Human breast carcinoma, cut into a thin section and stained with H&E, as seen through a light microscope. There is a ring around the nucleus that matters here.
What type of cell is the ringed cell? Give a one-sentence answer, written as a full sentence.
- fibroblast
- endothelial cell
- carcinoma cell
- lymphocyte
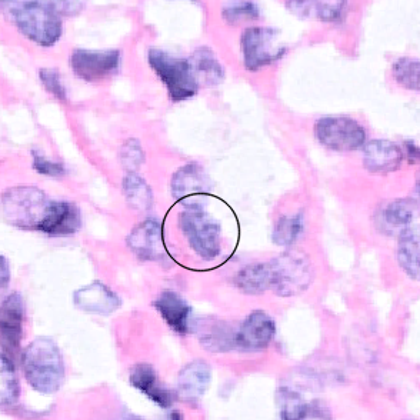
Cell type answer for this item: the ringed cell is a carcinoma cell.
